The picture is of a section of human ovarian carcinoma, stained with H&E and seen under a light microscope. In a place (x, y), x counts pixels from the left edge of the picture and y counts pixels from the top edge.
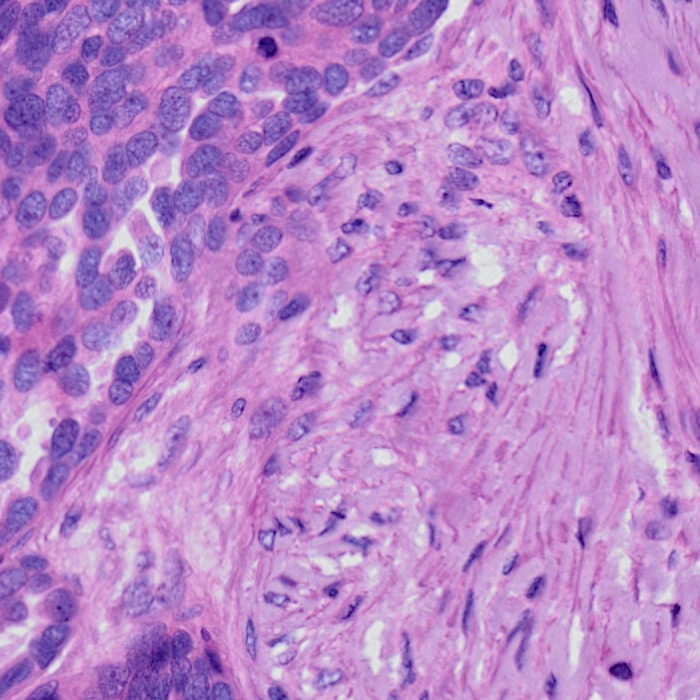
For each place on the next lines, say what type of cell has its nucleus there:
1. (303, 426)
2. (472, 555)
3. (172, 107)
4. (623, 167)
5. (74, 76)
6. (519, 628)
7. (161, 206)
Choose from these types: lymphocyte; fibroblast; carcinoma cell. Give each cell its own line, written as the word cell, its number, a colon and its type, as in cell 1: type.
cell 1: fibroblast
cell 2: fibroblast
cell 3: carcinoma cell
cell 4: fibroblast
cell 5: carcinoma cell
cell 6: fibroblast
cell 7: carcinoma cell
